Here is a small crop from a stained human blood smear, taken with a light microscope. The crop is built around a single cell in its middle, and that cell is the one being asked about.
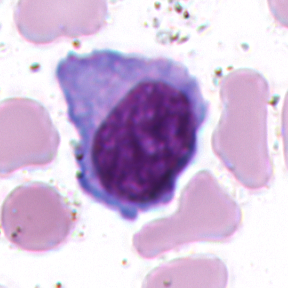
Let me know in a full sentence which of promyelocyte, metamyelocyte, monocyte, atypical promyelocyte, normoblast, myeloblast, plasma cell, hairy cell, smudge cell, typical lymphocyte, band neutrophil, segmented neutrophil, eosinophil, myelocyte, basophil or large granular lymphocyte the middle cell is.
As for the central cell, it is a plasma cell.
